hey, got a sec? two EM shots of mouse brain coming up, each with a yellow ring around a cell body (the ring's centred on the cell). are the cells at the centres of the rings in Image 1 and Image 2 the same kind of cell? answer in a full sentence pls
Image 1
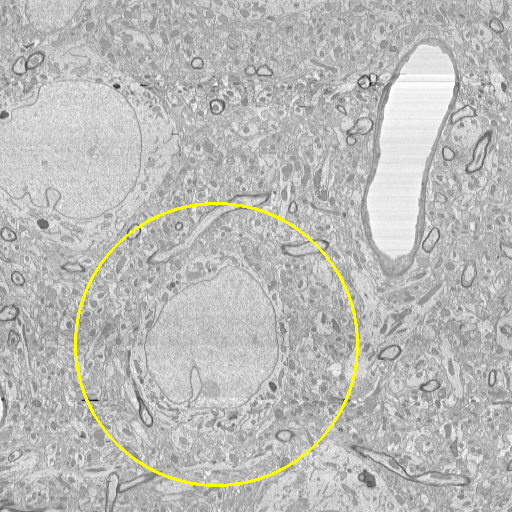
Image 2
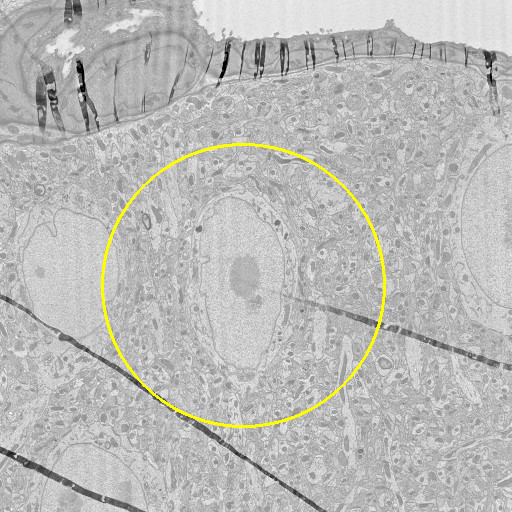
Yes, both are the same kind of cell.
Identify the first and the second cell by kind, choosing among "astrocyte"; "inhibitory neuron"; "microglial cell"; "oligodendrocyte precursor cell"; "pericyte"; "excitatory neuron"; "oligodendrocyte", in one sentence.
Each of the two pictures has an inhibitory neuron at the ring centre.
